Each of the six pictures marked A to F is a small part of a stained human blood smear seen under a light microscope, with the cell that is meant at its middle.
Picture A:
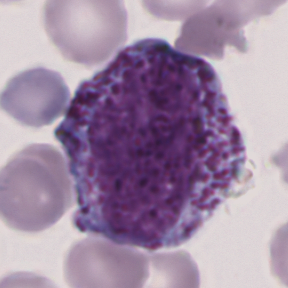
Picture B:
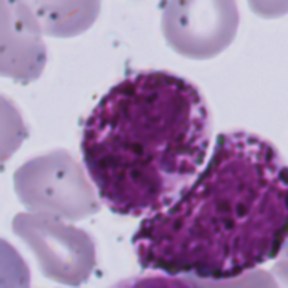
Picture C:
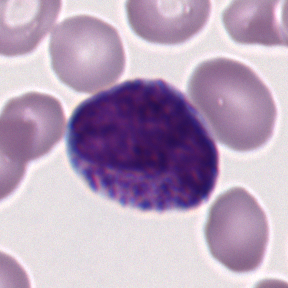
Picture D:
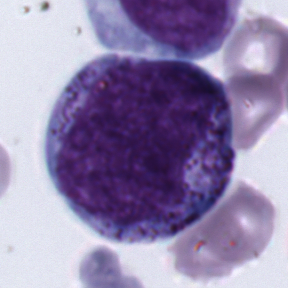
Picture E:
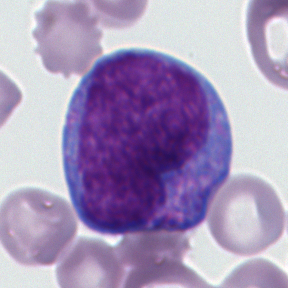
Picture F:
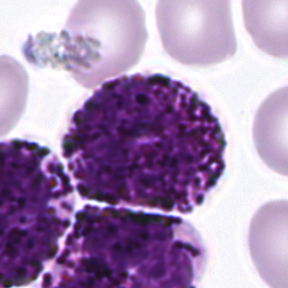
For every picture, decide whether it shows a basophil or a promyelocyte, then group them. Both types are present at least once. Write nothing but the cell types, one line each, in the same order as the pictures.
promyelocyte
basophil
basophil
promyelocyte
promyelocyte
basophil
